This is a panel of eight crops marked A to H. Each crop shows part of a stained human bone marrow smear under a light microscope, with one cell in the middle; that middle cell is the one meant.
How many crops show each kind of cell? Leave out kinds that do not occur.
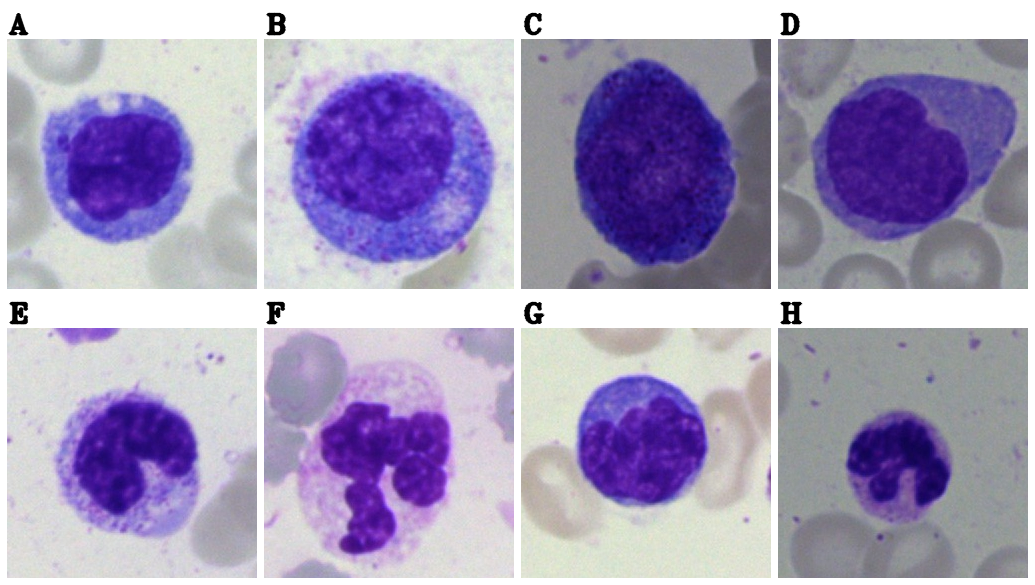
monocyte: 3
promyelocyte: 2
segmented neutrophil: 2
band neutrophil: 1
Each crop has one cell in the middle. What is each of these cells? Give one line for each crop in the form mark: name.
A: monocyte
B: promyelocyte
C: promyelocyte
D: monocyte
E: band neutrophil
F: segmented neutrophil
G: monocyte
H: segmented neutrophil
